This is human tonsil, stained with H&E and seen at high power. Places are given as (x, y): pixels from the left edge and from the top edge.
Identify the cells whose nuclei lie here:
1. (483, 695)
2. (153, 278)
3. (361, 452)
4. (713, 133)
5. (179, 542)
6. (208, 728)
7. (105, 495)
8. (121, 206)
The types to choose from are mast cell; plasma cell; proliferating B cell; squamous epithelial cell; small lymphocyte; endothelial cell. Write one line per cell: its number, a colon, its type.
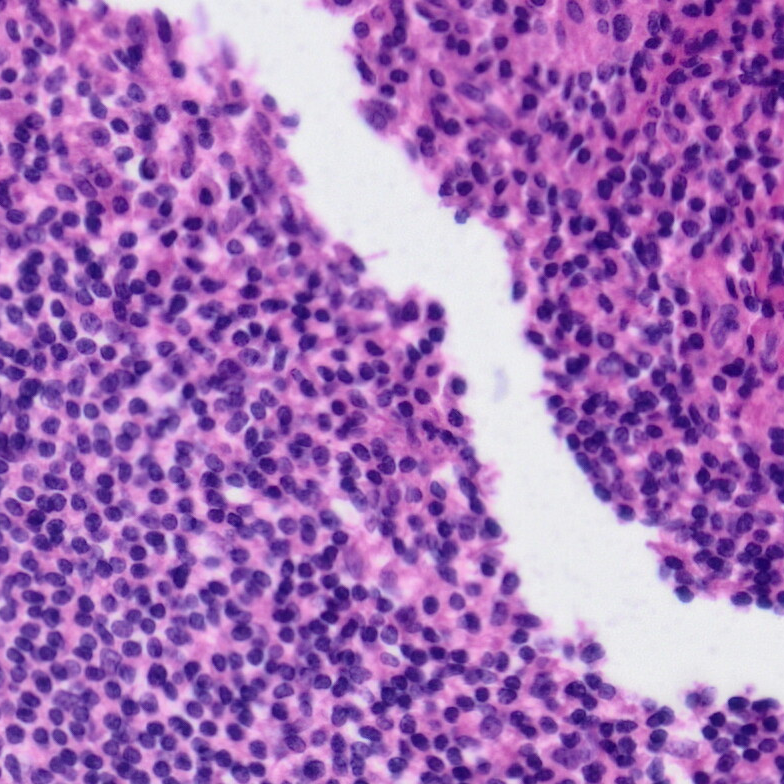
1: small lymphocyte
2: plasma cell
3: small lymphocyte
4: plasma cell
5: small lymphocyte
6: small lymphocyte
7: small lymphocyte
8: plasma cell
